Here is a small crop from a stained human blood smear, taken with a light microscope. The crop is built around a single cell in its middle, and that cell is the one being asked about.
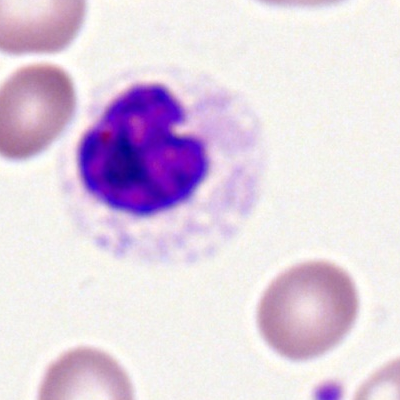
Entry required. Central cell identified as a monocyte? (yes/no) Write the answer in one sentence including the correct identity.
No, the central cell is not a monocyte; it is a segmented neutrophil.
